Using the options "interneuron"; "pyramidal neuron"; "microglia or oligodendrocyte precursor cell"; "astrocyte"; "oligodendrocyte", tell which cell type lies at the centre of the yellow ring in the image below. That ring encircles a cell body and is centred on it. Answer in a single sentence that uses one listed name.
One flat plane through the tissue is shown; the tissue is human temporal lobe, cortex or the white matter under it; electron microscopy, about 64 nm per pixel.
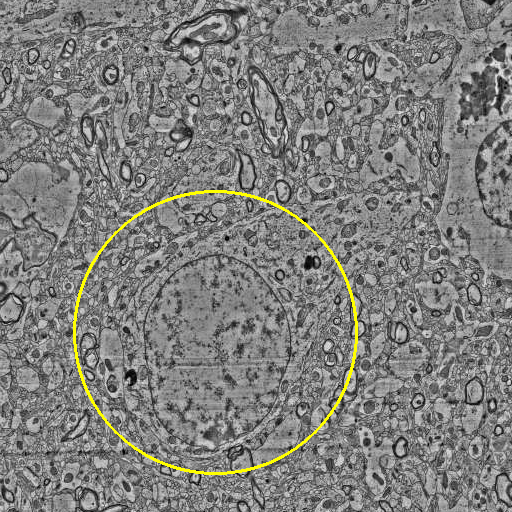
At the centre of the yellow ring lies the body of a pyramidal neuron.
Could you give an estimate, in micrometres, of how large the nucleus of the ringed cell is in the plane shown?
The ringed cell's nucleus measures approximately 12 by 10 micrometres in this plane.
